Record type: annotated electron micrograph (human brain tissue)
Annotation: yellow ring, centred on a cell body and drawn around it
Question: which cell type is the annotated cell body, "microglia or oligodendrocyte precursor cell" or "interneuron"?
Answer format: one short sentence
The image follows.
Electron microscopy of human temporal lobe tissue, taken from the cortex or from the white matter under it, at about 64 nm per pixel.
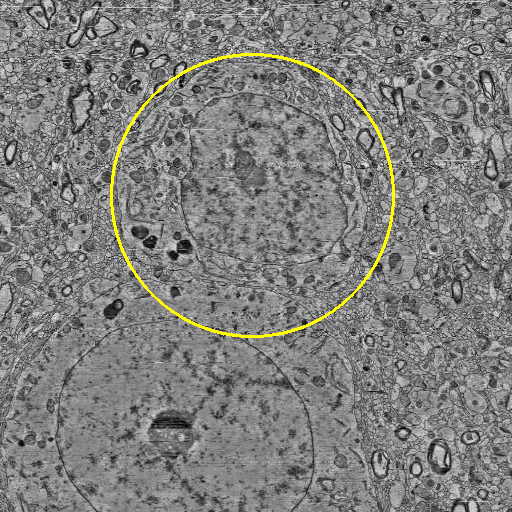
The annotated cell body is that of an interneuron.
